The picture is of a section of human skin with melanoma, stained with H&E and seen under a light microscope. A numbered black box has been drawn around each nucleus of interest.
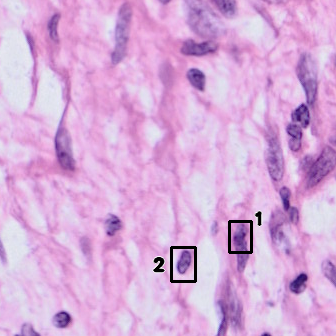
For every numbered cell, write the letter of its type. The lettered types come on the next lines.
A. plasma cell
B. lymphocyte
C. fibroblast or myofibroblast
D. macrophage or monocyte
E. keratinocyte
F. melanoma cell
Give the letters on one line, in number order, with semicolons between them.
D; B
